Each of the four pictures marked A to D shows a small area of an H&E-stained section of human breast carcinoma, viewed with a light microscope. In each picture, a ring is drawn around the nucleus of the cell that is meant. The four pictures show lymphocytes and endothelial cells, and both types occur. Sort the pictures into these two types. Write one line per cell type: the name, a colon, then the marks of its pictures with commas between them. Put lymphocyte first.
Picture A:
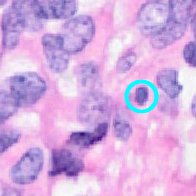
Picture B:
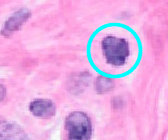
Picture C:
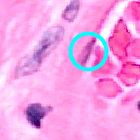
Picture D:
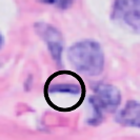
lymphocyte: A, B
endothelial cell: C, D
